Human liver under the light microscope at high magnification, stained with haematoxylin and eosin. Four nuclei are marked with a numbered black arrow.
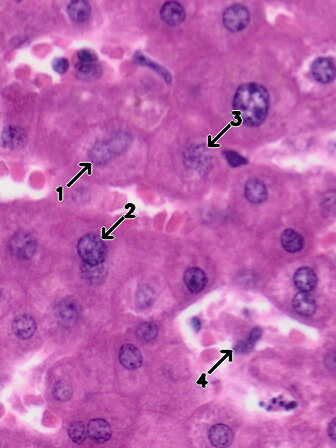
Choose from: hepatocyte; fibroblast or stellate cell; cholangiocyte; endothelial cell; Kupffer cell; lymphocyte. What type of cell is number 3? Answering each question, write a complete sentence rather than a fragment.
The nucleus marked 3 is the nucleus of a hepatocyte.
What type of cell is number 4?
Classified as a Kupffer cell is the cell with the number 4.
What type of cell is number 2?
The cell pointed out as number 2 is a hepatocyte.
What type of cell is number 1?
Identified by the number 1, the cell is a hepatocyte.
